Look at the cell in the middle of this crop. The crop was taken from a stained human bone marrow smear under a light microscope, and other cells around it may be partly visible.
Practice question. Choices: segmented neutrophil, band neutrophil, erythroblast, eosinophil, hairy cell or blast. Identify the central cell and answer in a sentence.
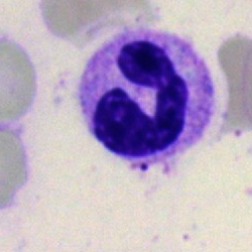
The middle of this crop is occupied by a segmented neutrophil.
